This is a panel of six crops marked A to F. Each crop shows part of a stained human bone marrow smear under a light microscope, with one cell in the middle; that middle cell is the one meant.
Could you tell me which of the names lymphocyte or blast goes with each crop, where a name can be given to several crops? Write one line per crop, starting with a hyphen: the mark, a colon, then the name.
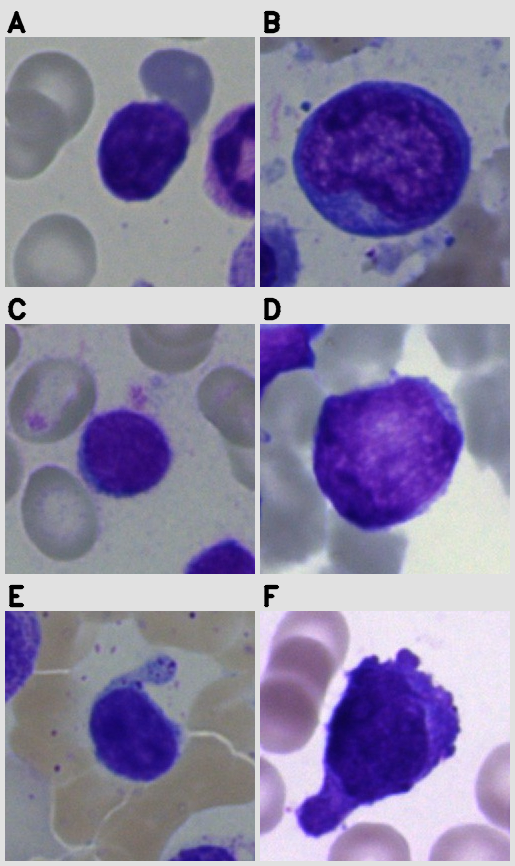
- A: lymphocyte
- B: blast
- C: lymphocyte
- D: blast
- E: lymphocyte
- F: blast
